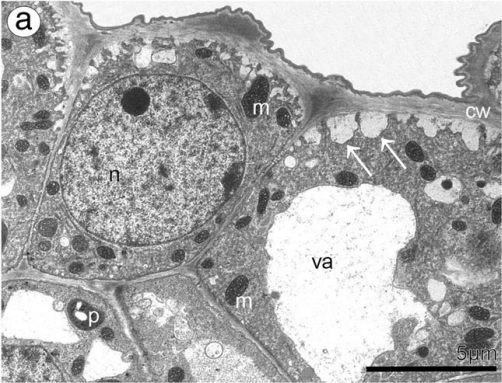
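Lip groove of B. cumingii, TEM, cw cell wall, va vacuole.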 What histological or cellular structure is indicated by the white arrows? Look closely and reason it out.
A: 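Pale lobed protrusions line the inner face of the thick outer wall. They project from the wall into the cytoplasm.
Answer: ingrowths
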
